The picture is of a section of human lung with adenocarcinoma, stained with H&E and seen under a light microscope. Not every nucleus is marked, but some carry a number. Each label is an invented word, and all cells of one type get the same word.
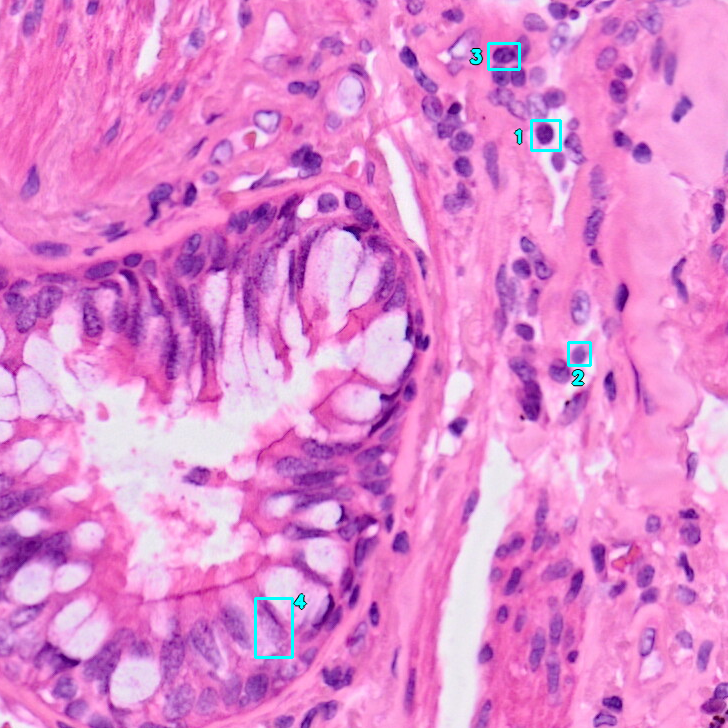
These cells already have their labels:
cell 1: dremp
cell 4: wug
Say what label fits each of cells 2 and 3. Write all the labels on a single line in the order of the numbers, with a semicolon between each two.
dremp; dremp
